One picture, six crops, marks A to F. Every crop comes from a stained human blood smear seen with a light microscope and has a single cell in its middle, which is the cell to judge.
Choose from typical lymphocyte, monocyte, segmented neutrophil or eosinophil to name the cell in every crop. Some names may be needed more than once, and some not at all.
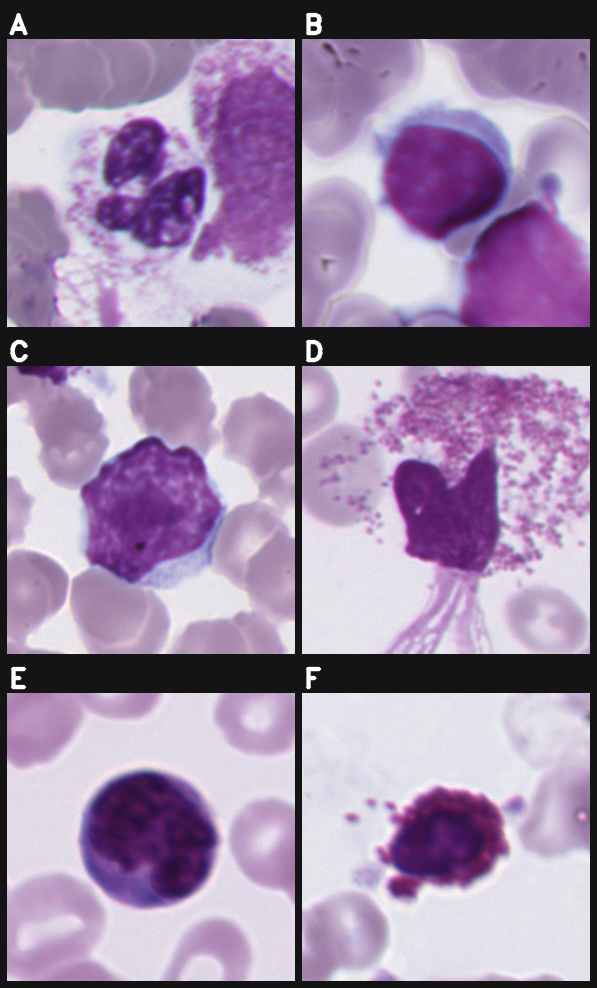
A: segmented neutrophil
B: typical lymphocyte
C: typical lymphocyte
D: eosinophil
E: monocyte
F: eosinophil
